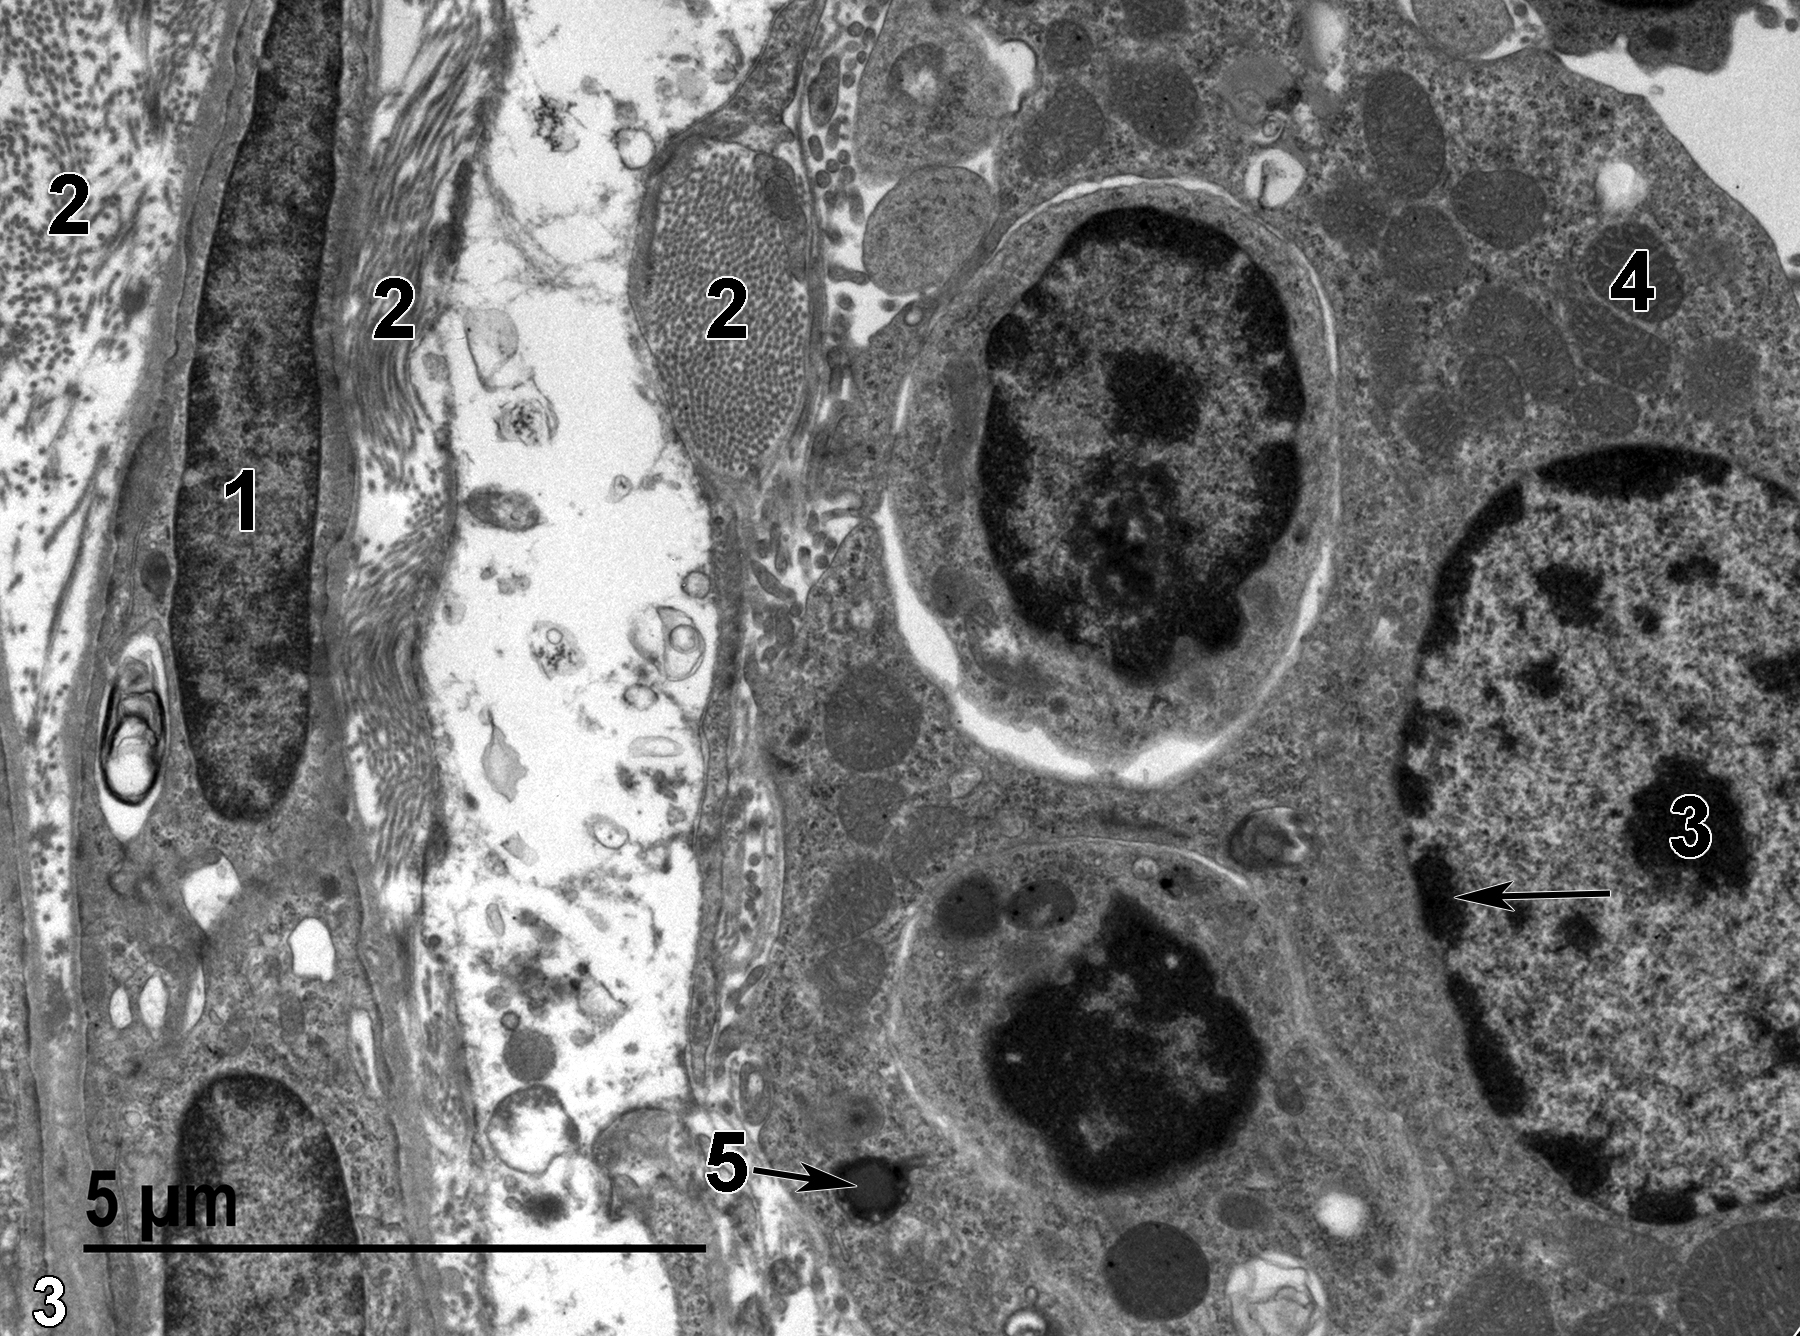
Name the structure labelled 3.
Nucleolus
